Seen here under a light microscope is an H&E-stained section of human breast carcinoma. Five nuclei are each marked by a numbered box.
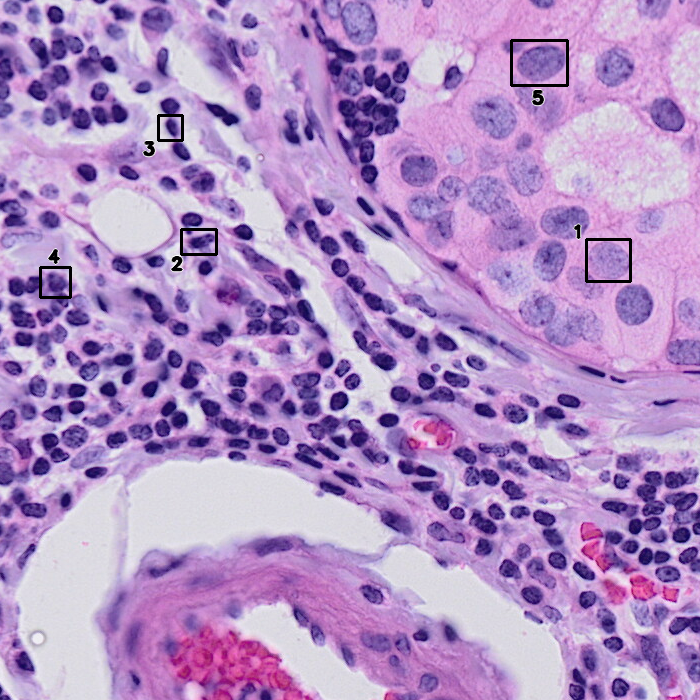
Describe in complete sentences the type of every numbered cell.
Cells 1 and 5 are carcinoma cells. Cells 2, 3 and 4 are lymphocytes.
